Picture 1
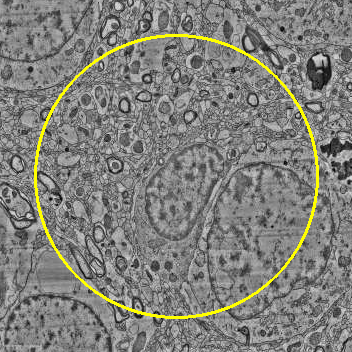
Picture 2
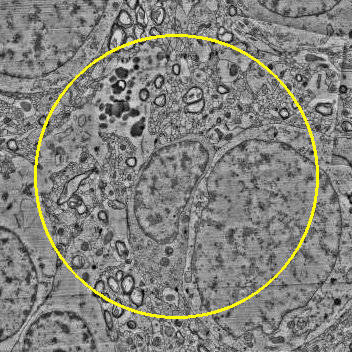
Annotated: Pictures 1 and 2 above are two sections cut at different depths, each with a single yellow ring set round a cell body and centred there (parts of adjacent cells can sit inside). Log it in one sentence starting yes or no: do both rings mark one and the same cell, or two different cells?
Yes, the same cell turns up inside each of the two rings.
